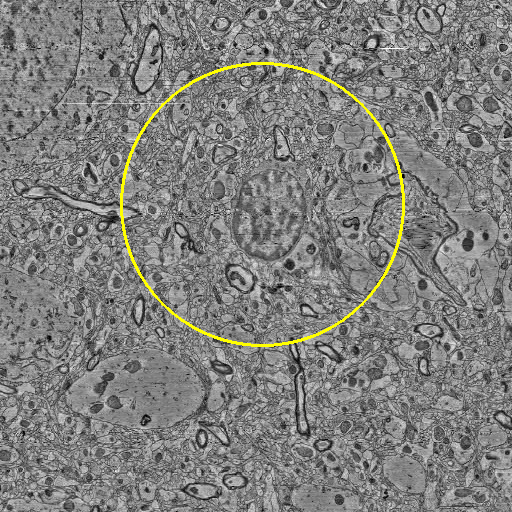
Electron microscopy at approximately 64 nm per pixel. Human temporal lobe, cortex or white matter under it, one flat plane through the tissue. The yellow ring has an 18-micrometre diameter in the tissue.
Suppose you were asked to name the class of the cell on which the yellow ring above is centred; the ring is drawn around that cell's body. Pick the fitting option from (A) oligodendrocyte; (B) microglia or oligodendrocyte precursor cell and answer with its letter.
A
